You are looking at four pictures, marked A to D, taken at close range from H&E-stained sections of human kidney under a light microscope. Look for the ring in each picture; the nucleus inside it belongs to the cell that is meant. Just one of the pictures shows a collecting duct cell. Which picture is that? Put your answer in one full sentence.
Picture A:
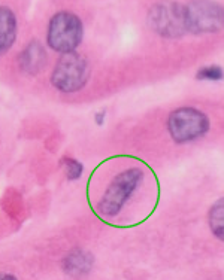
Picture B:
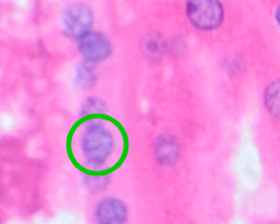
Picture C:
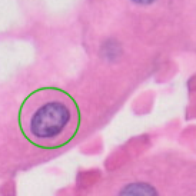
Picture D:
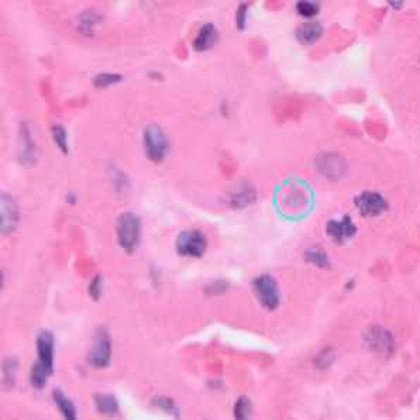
The picture with the collecting duct cell is B.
